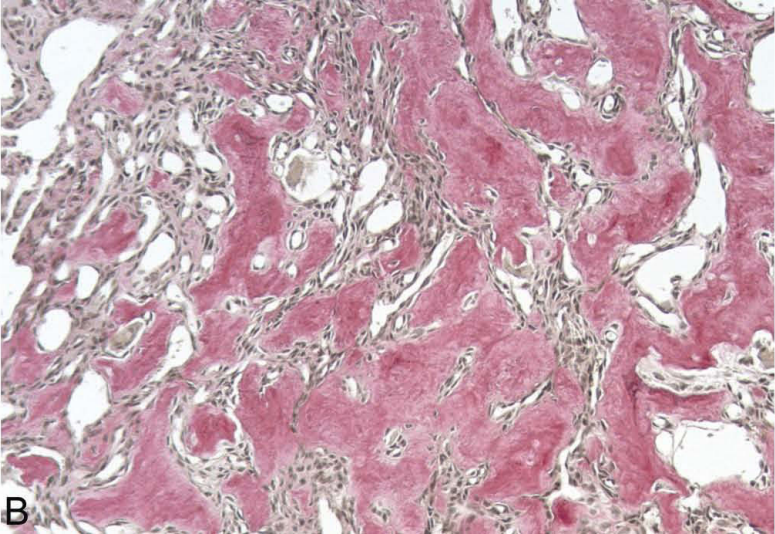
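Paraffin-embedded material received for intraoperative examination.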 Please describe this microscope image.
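Between the red matrix lie elongated spindle-shaped mesenchymal cells with small brownish nuclei. Many open rounded and slit-like vascular spaces lie among the trabeculae.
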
